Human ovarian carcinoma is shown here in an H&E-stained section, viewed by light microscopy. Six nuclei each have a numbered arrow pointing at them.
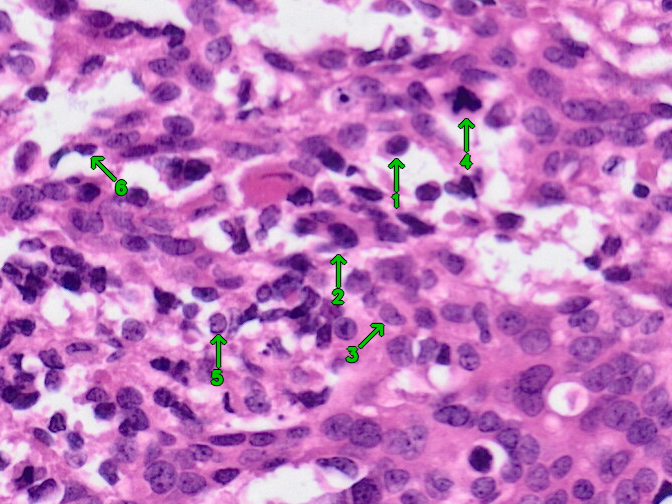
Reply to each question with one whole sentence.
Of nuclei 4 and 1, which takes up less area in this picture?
With nucleus 4 about 1.5 times its size, nucleus 1 is the smaller of the two.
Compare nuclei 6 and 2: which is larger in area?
The larger nucleus is 2, at roughly 3 times the area of 6.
